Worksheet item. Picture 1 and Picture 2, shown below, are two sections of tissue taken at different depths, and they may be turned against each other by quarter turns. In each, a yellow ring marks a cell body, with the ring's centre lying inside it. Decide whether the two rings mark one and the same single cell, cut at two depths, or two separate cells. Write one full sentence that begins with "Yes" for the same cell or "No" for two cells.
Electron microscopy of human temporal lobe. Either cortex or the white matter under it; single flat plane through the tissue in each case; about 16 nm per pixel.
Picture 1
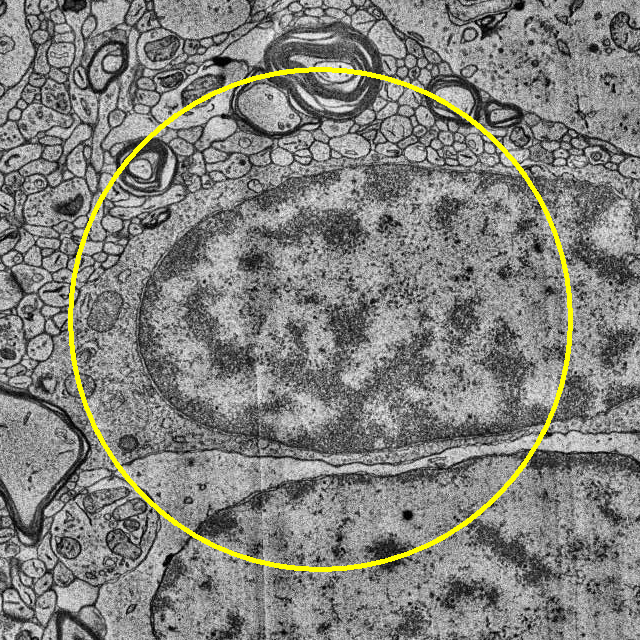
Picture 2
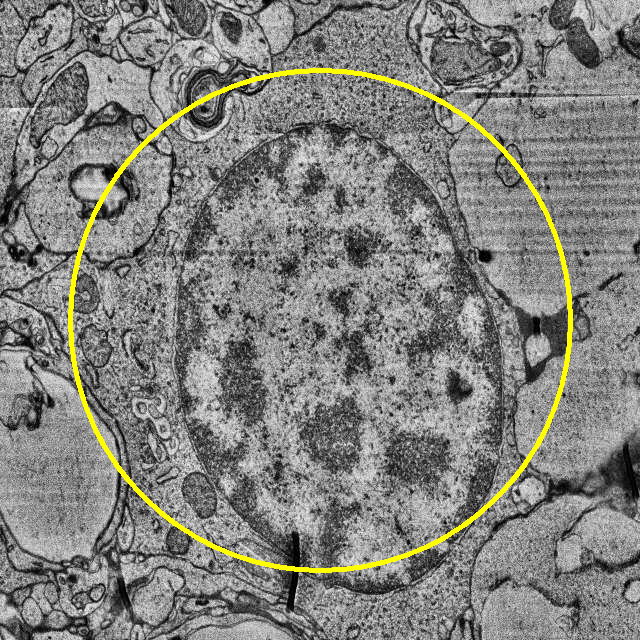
No, the rings identify two cells, not one shared cell.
